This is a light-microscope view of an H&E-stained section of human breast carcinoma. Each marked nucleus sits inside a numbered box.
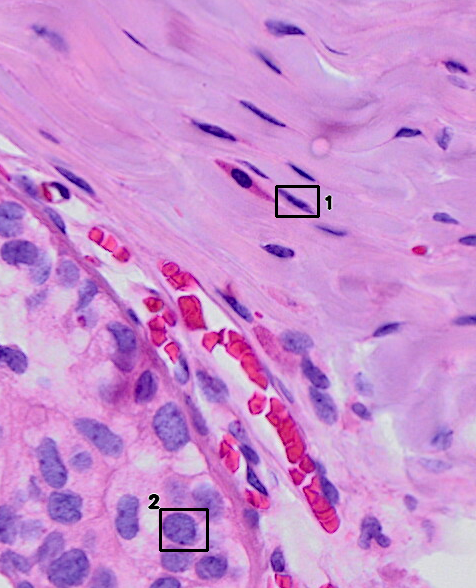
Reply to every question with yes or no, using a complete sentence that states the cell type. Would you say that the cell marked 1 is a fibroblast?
Yes, in this section the cell numbered 1 is a fibroblast.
